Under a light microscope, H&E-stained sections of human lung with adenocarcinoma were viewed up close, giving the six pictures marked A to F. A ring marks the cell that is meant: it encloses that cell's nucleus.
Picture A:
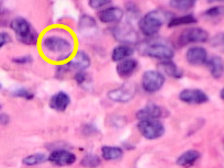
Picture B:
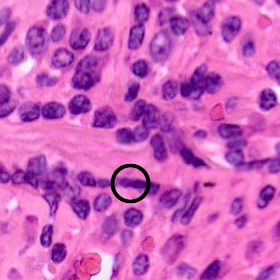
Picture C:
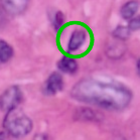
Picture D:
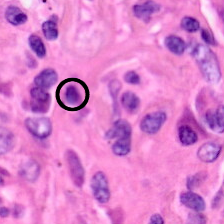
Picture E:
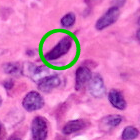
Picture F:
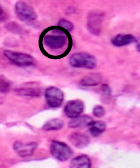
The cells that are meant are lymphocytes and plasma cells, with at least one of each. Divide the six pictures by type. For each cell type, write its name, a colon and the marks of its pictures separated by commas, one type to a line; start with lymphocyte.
lymphocyte: A, B, C
plasma cell: D, E, F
